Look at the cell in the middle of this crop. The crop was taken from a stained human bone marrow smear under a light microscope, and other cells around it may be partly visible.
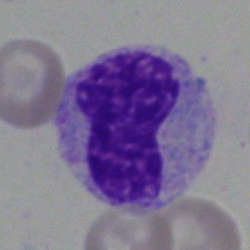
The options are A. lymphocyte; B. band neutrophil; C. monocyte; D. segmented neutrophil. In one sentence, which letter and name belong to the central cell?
Since the middle cell is a band neutrophil, option B is the right one.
